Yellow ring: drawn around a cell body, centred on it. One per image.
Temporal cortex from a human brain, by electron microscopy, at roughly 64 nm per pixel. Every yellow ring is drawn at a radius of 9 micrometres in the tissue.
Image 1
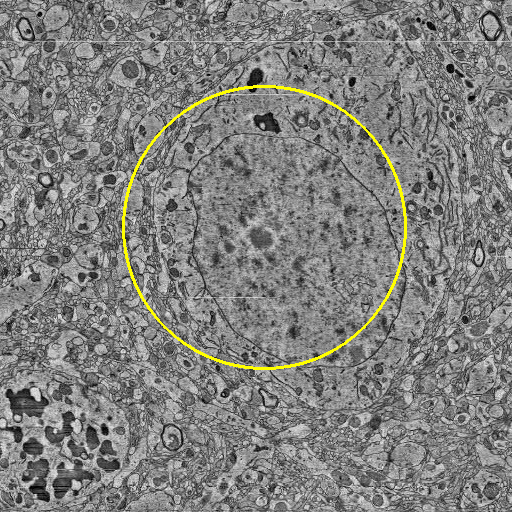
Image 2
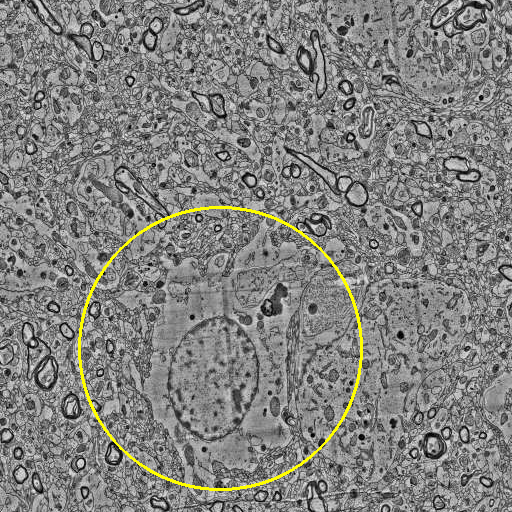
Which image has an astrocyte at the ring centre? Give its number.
2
